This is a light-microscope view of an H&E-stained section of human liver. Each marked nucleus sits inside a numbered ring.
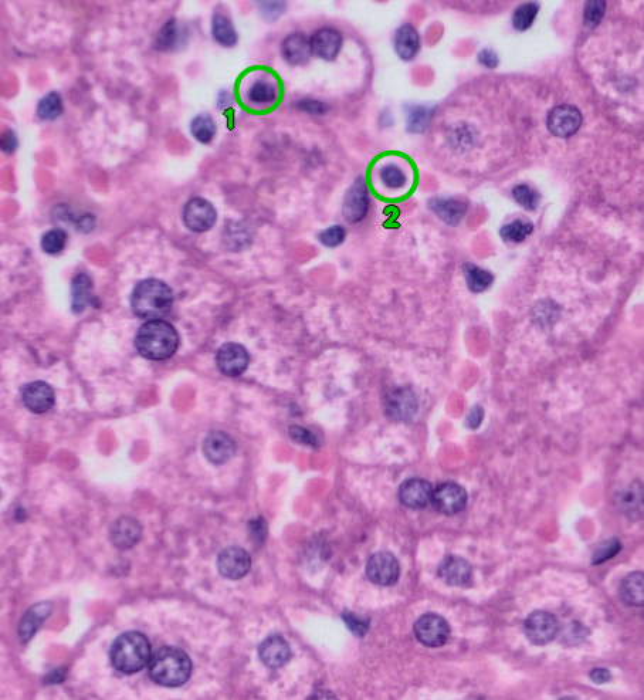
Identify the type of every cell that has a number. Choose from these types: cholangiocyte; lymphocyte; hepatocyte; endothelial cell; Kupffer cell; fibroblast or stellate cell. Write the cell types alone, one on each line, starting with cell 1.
fibroblast or stellate cell
lymphocyte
